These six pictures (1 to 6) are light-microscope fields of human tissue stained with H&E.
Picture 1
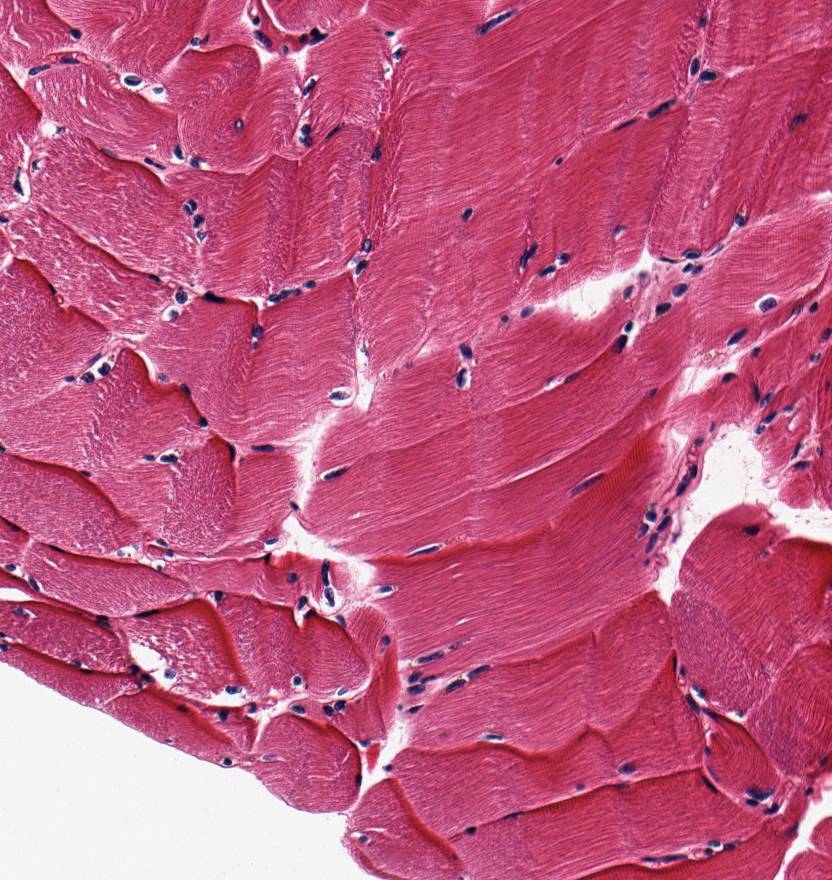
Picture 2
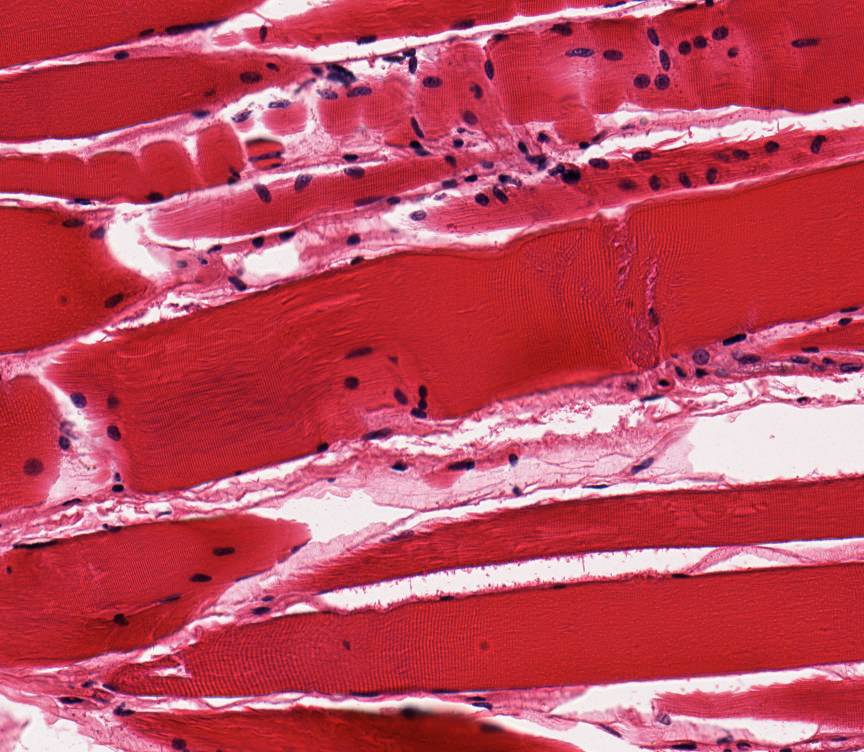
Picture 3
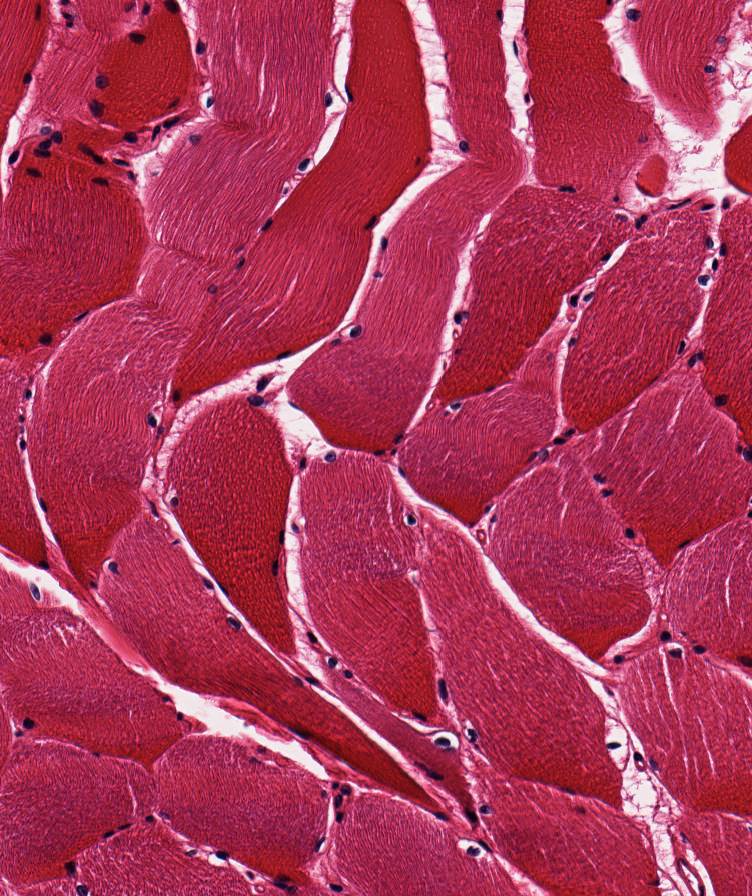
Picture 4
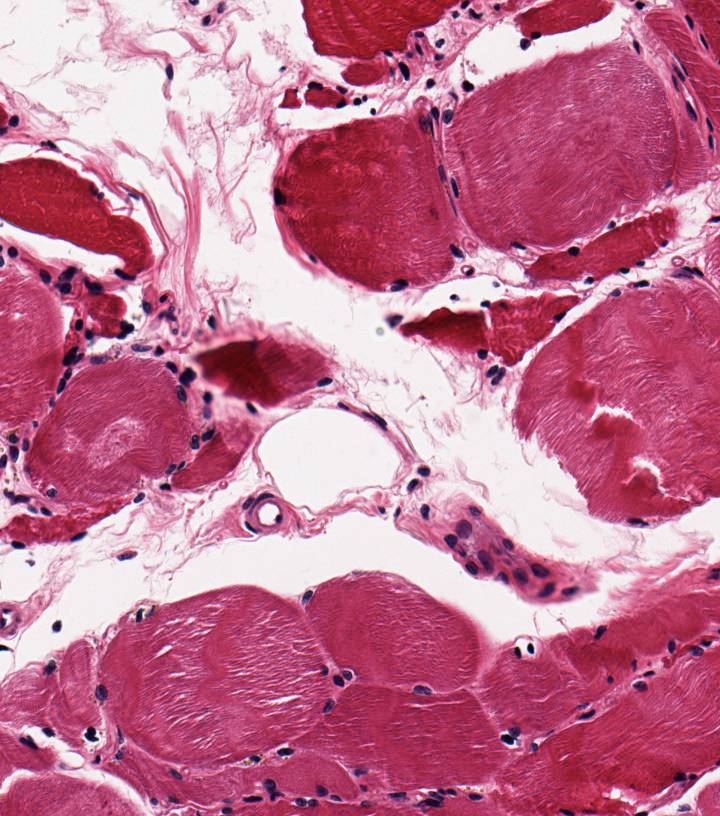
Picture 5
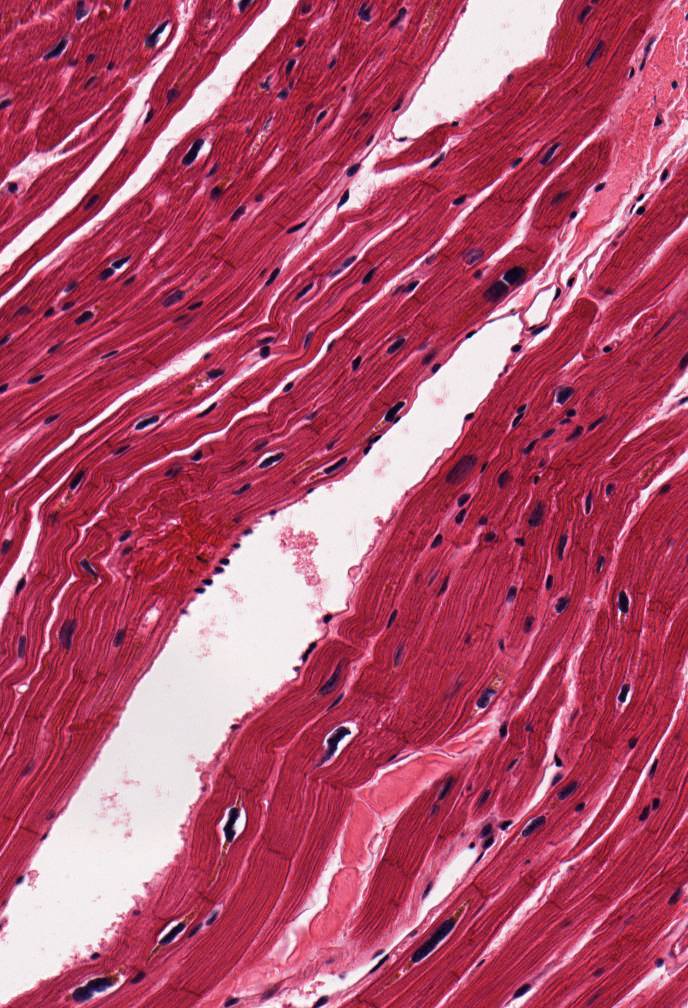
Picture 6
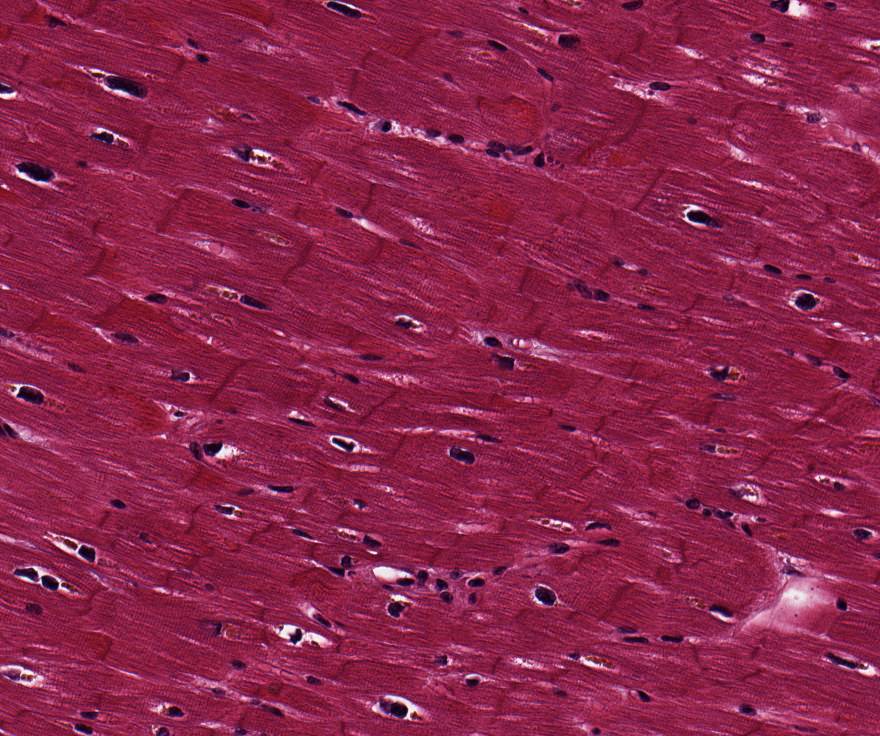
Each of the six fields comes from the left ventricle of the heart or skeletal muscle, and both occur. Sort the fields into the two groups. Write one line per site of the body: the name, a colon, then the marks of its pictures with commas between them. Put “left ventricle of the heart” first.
left ventricle of the heart: 5, 6
skeletal muscle: 1, 2, 3, 4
